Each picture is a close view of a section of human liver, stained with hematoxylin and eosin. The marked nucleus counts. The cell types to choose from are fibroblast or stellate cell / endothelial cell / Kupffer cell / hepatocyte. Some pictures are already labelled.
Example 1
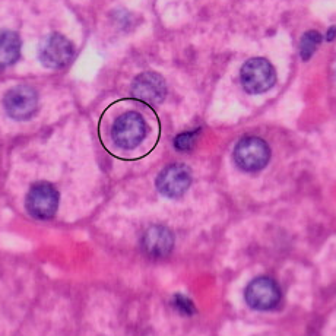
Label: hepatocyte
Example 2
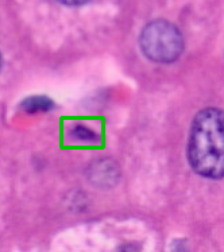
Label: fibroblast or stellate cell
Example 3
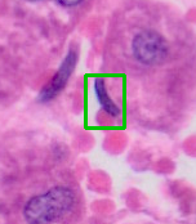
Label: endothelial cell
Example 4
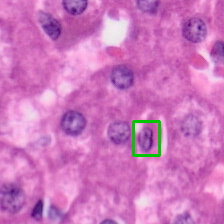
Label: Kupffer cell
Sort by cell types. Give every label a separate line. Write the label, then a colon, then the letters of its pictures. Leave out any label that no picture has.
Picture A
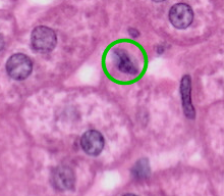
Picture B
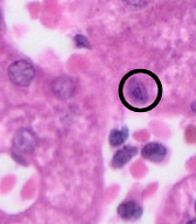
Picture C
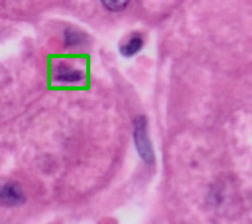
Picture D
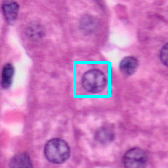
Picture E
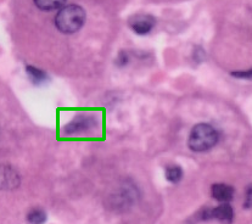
fibroblast or stellate cell: B, C, E
endothelial cell: A
hepatocyte: D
